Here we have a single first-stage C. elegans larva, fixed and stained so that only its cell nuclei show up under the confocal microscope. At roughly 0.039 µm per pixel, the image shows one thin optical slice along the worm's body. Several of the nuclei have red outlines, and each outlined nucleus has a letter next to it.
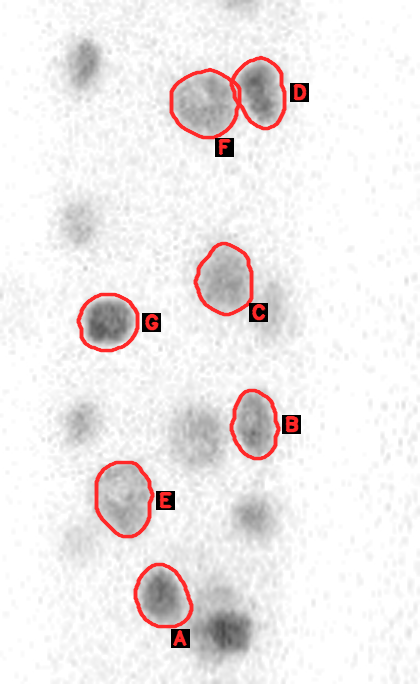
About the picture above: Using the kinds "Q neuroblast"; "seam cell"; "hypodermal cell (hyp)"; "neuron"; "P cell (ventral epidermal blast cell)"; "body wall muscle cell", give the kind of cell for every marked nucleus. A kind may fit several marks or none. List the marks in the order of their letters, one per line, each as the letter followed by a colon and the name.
A: neuron
B: body wall muscle cell
C: P cell (ventral epidermal blast cell)
D: body wall muscle cell
E: hypodermal cell (hyp)
F: seam cell
G: neuron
